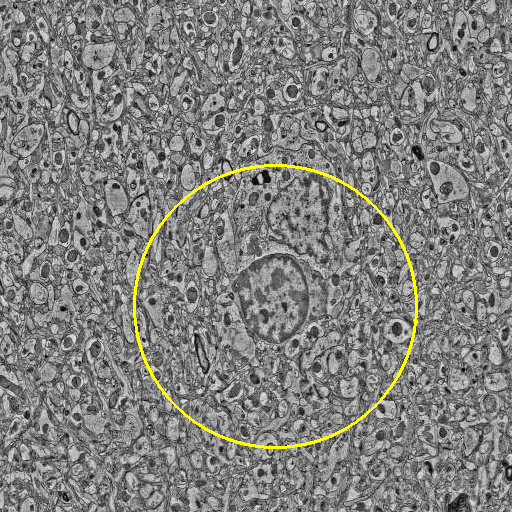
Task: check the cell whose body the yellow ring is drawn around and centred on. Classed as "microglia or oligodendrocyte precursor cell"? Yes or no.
No, it belongs to another class.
